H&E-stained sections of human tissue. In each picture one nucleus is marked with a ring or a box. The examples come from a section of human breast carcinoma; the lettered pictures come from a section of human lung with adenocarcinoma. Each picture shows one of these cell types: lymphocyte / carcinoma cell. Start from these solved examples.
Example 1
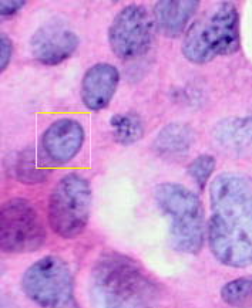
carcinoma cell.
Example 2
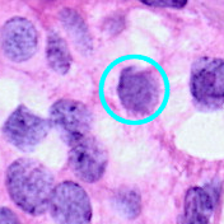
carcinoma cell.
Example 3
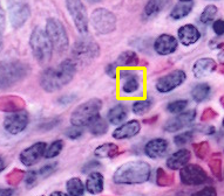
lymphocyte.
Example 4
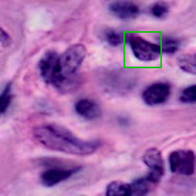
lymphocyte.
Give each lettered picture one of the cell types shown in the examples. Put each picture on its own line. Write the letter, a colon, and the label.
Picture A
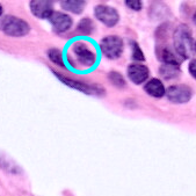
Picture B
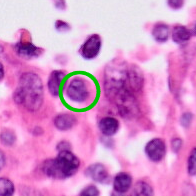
A: lymphocyte.
B: lymphocyte.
